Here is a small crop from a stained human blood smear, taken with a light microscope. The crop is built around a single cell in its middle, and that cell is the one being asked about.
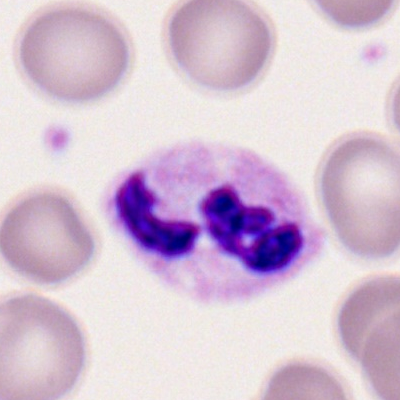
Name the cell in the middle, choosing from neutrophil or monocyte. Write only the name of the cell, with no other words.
neutrophil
